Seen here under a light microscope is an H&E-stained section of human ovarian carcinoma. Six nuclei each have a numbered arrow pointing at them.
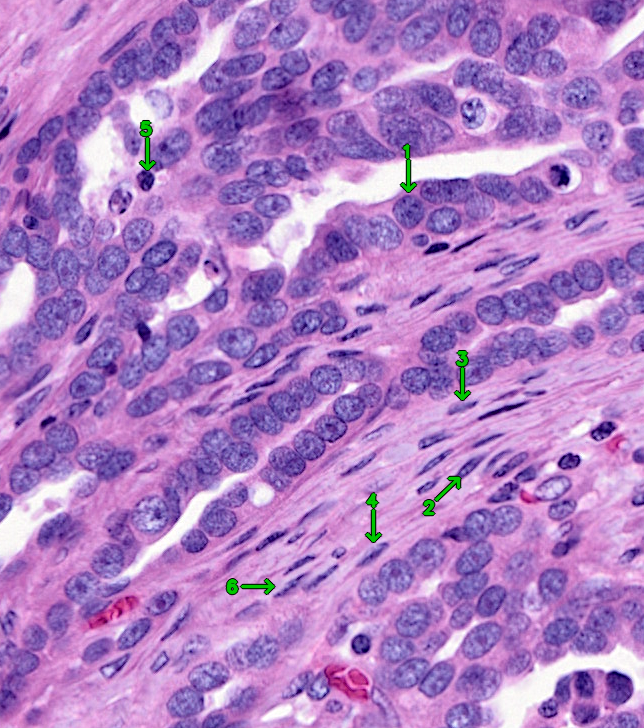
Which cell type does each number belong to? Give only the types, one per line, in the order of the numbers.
carcinoma cell
fibroblast
fibroblast
fibroblast
lymphocyte
fibroblast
